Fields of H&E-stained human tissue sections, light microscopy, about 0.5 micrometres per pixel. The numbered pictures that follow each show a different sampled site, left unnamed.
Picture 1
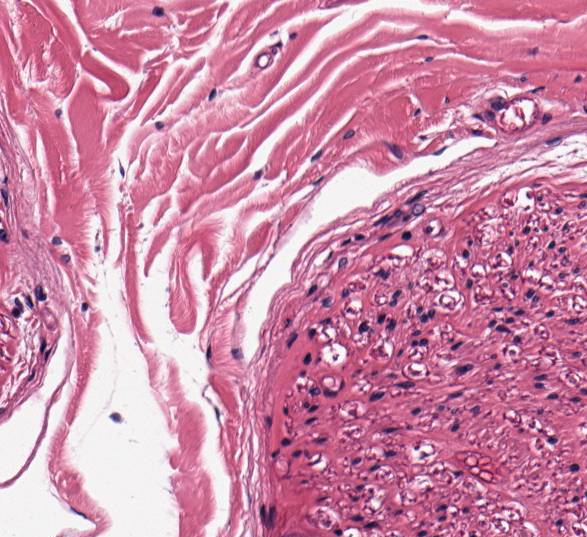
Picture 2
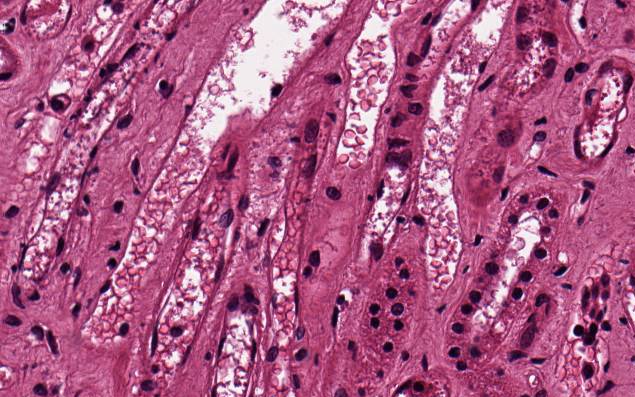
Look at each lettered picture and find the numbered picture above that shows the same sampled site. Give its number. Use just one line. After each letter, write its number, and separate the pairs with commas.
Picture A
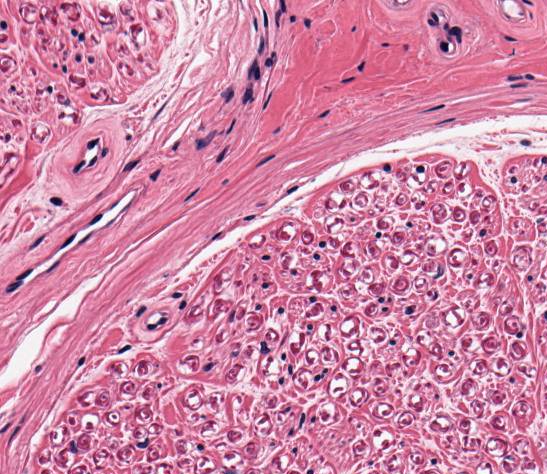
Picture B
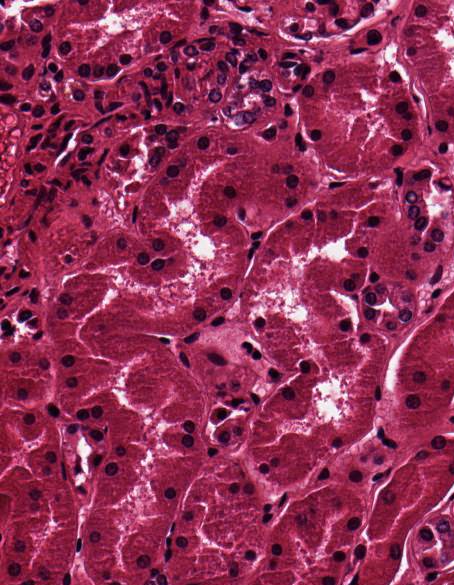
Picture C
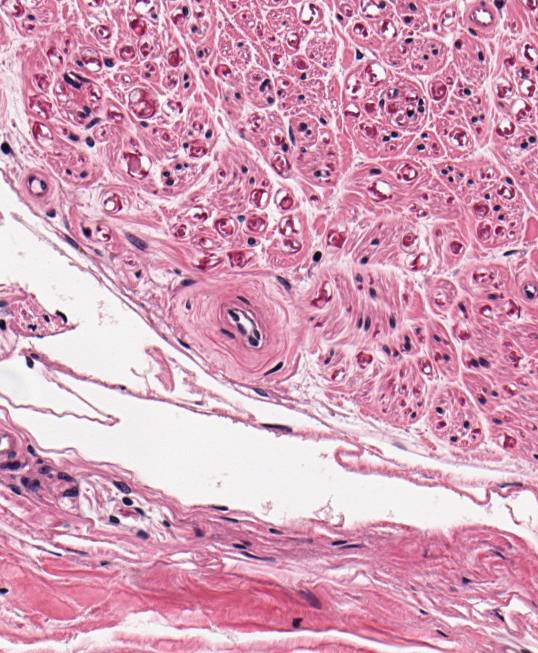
A 1, B 2, C 1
